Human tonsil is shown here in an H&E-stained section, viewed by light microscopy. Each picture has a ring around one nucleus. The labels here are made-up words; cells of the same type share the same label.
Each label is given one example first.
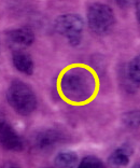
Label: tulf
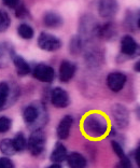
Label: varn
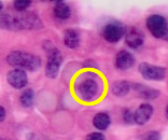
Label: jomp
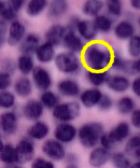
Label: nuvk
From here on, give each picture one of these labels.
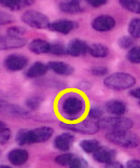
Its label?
jomp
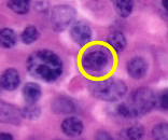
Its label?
jomp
